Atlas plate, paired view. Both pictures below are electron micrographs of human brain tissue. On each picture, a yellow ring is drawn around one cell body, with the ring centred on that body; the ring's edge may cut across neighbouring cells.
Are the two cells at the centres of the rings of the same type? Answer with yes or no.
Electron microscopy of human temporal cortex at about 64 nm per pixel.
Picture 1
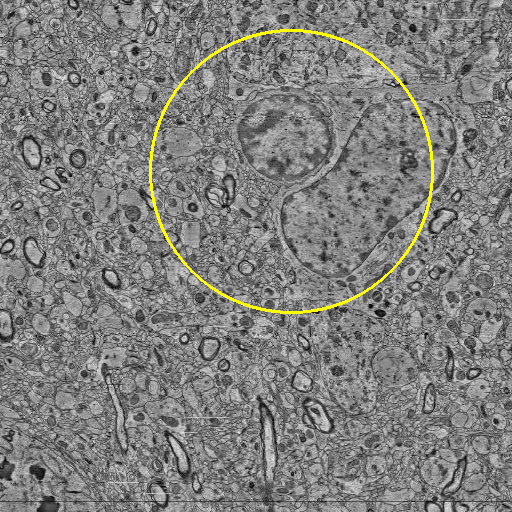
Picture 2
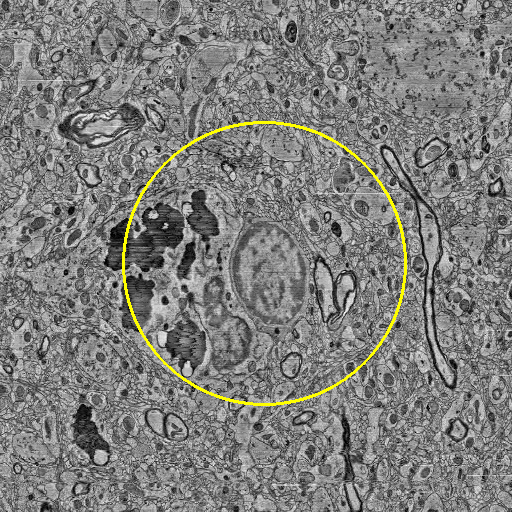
yes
